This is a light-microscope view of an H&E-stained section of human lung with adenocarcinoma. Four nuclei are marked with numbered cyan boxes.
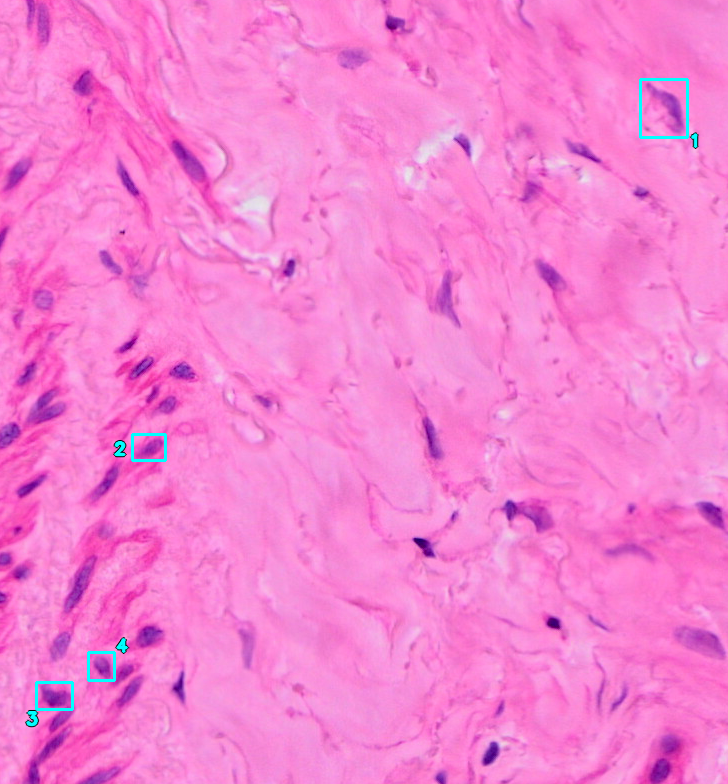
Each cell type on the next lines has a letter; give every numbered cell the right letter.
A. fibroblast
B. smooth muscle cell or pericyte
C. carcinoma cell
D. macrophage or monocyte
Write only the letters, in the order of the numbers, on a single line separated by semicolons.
A; B; B; B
